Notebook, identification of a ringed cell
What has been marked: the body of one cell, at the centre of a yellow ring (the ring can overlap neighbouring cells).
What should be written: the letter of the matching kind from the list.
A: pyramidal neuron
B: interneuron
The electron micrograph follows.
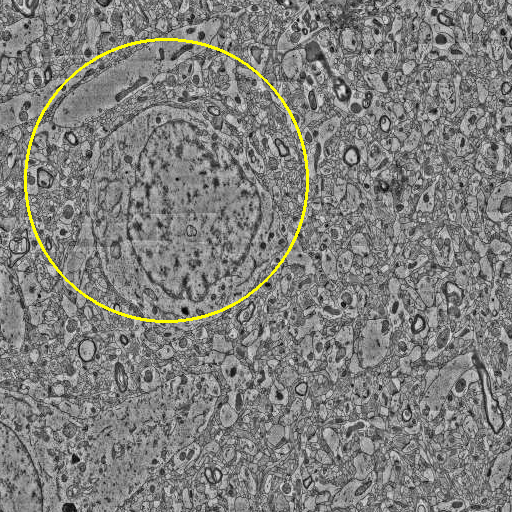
B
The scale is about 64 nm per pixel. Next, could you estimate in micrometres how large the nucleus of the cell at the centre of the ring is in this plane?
The nucleus comes to roughly 12 by 9 micrometres in this plane.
